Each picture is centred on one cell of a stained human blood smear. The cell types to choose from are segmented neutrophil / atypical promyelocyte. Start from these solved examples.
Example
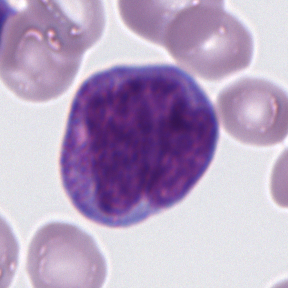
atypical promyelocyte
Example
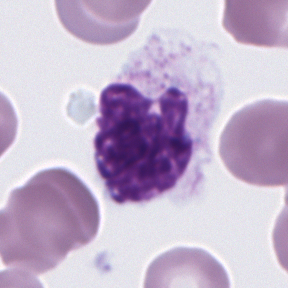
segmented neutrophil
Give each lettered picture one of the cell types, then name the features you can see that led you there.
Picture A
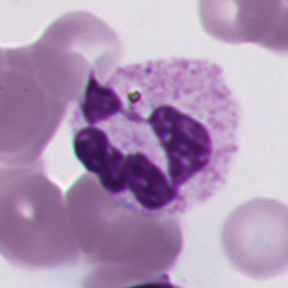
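segmented neutrophil: The nucleus is divided into several separate lobes.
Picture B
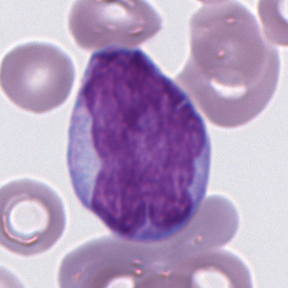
atypical promyelocyte: The cytoplasm forms a narrow rim that is widest on the left side.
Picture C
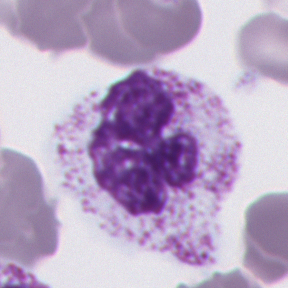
segmented neutrophil: Discrete reddish-purple granules are scattered throughout the cytoplasm.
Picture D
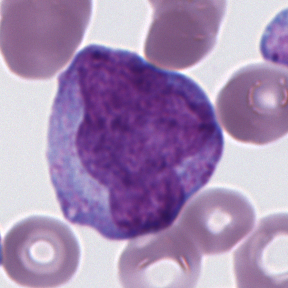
atypical promyelocyte: The nucleus is large and irregularly folded, filling most of the cell.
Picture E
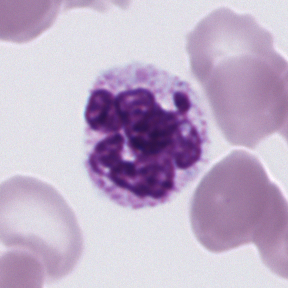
segmented neutrophil: The nucleus is split into more than four separate lobes.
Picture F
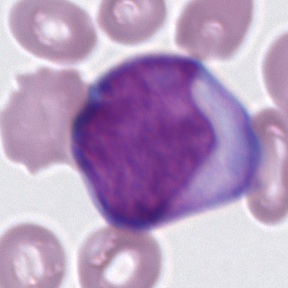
atypical promyelocyte: The nucleus fills most of the cell and sits toward its left side.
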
